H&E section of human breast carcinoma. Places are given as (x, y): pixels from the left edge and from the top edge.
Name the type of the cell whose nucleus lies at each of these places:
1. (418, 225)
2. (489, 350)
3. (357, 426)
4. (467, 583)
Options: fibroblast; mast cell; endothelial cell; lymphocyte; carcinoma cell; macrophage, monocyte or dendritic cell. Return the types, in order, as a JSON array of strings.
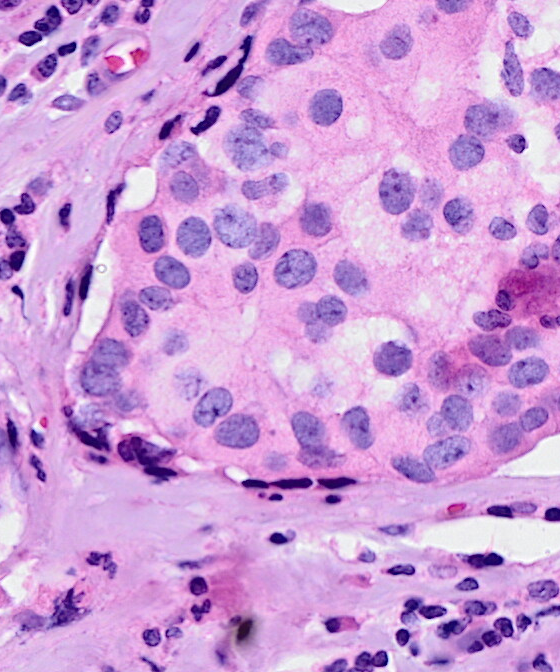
["carcinoma cell", "carcinoma cell", "carcinoma cell", "lymphocyte"]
